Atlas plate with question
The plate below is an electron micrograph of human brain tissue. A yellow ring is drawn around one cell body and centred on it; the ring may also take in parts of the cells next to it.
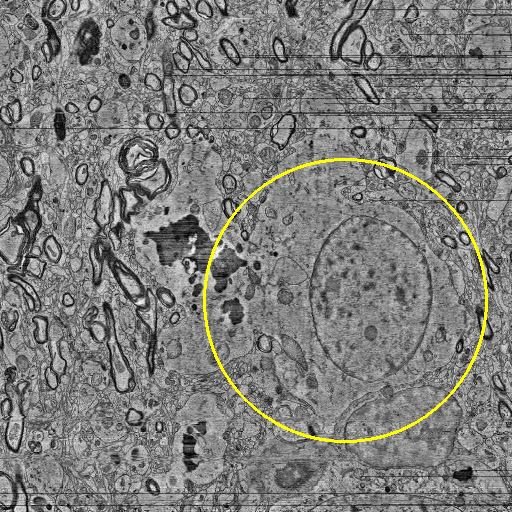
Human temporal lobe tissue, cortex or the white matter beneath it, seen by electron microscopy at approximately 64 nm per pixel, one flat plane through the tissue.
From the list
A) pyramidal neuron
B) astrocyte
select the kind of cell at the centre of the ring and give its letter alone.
B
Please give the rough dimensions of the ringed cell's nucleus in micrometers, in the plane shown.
The nucleus appears roughly 11 by 8 micrometres in this plane.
